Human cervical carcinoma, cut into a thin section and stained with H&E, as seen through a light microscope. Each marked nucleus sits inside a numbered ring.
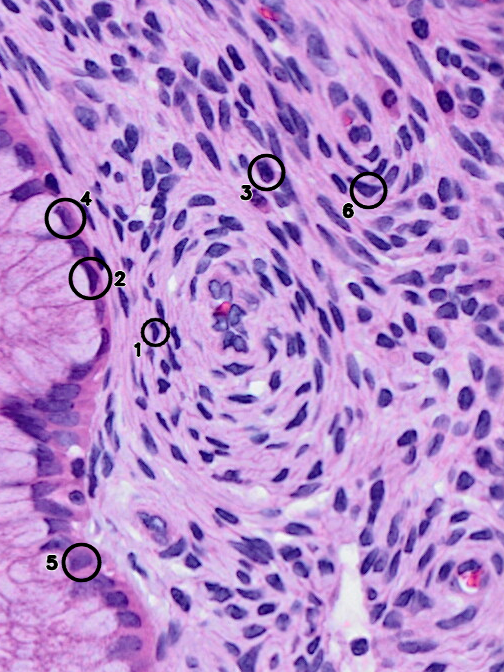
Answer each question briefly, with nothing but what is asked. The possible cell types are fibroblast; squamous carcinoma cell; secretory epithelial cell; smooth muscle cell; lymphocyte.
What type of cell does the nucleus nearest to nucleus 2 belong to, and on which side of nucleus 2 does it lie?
a lymphocyte, above and to the right of nucleus 2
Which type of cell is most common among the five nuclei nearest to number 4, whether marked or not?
secretory epithelial cell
